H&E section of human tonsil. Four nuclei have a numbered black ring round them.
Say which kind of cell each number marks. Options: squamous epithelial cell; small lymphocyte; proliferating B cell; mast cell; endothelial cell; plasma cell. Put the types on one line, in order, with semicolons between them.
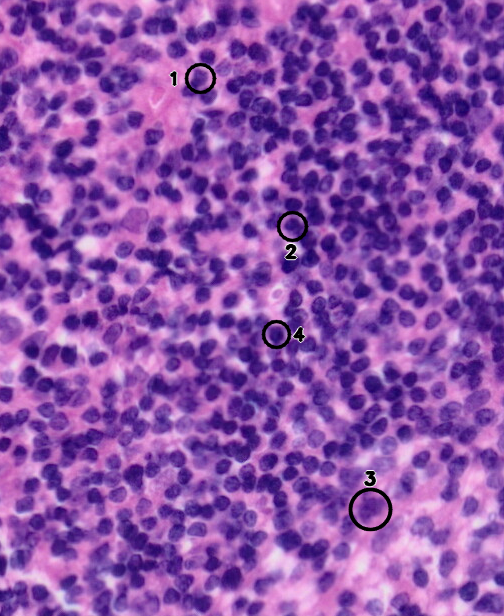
small lymphocyte; small lymphocyte; proliferating B cell; small lymphocyte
